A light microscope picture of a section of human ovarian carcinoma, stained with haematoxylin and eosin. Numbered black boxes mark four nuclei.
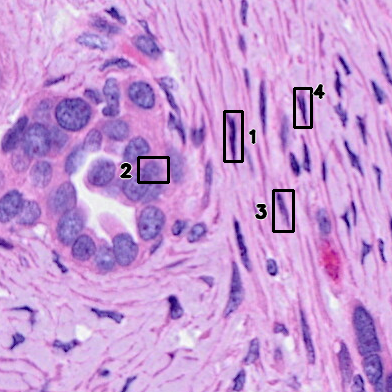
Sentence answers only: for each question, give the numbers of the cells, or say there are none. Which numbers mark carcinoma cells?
Of those with numbers, only cell 2 is a carcinoma cell.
